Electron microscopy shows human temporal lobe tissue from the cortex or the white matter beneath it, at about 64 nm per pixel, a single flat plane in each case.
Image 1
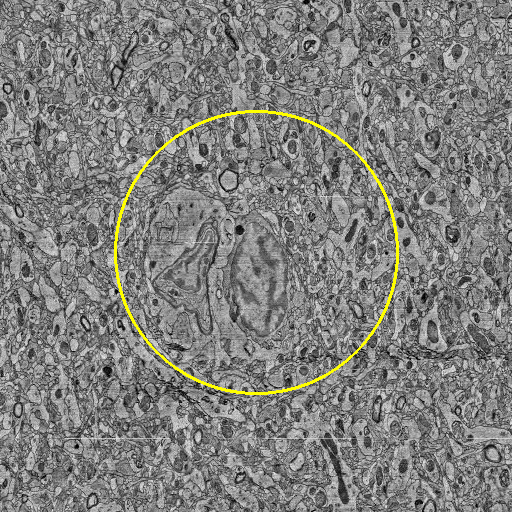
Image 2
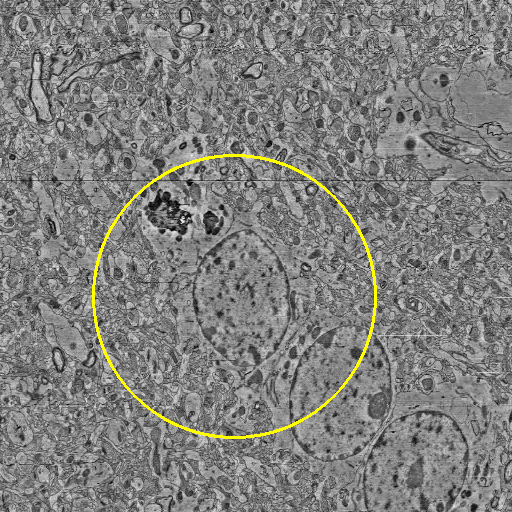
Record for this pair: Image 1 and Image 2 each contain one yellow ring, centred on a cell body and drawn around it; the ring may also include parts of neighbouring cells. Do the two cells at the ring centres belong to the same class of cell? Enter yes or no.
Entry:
no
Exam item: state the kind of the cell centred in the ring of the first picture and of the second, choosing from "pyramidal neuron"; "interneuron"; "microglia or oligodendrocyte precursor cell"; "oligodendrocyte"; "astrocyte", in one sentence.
The first picture shows an oligodendrocyte at the ring centre and the second shows an astrocyte.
